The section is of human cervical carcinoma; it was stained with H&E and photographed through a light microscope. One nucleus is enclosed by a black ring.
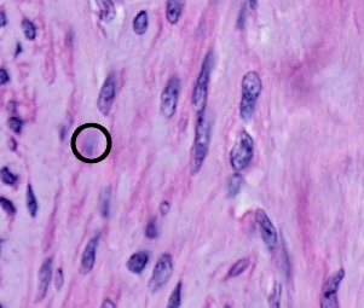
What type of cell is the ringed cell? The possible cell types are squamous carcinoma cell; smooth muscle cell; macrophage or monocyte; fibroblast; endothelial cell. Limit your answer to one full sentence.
With respect to cell type, the ringed cell is a smooth muscle cell.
